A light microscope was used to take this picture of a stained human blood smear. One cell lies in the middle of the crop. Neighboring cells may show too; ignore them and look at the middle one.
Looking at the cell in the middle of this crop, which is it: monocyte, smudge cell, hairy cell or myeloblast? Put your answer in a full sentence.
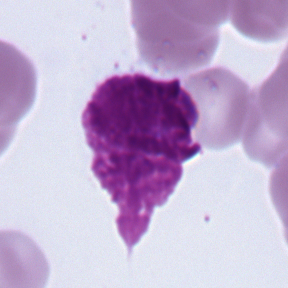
Centrally within this crop lies a smudge cell.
